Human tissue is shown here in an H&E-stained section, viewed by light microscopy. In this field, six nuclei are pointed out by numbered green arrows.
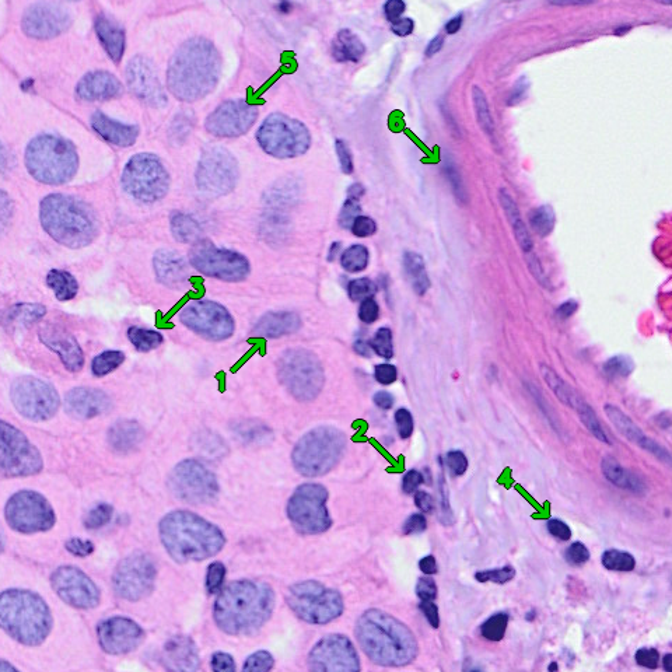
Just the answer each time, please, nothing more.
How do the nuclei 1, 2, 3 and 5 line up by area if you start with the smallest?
2, 3, 1, 5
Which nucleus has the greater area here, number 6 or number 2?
6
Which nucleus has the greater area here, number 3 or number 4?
3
